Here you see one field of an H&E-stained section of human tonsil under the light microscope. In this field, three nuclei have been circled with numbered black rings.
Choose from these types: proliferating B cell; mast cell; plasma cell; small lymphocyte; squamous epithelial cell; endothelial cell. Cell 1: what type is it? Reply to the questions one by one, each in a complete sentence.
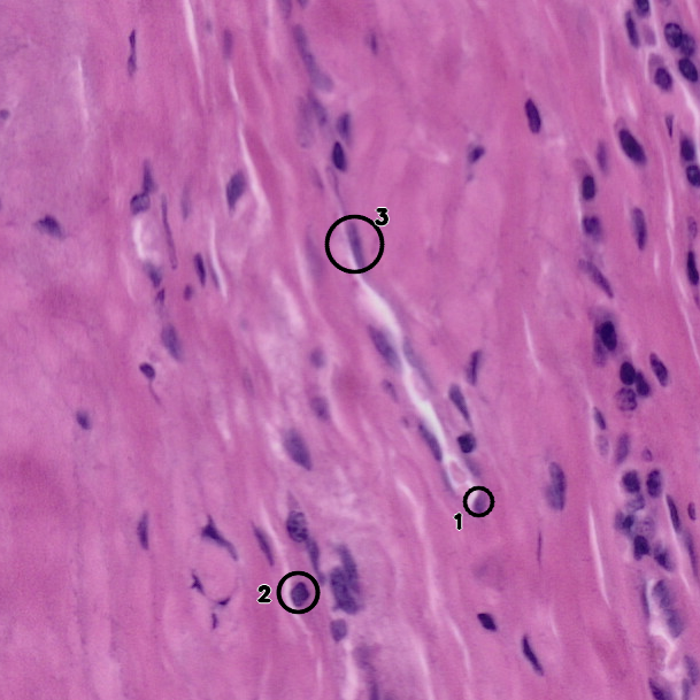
The mark numbered 1 indicates the nucleus of an endothelial cell.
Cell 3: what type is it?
Cell 3, among those numbered, is an endothelial cell.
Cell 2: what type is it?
At number 2, the marked cell is a mast cell.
